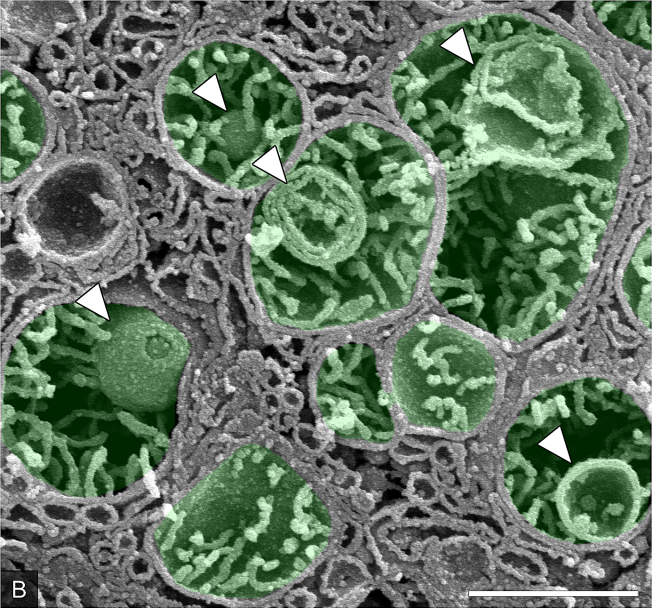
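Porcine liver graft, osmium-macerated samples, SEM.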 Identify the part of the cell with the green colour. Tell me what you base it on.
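Mitochondria. Round green-coloured organelles bounded by a membrane. Their interior is filled with tubular, worm-like cristae.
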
